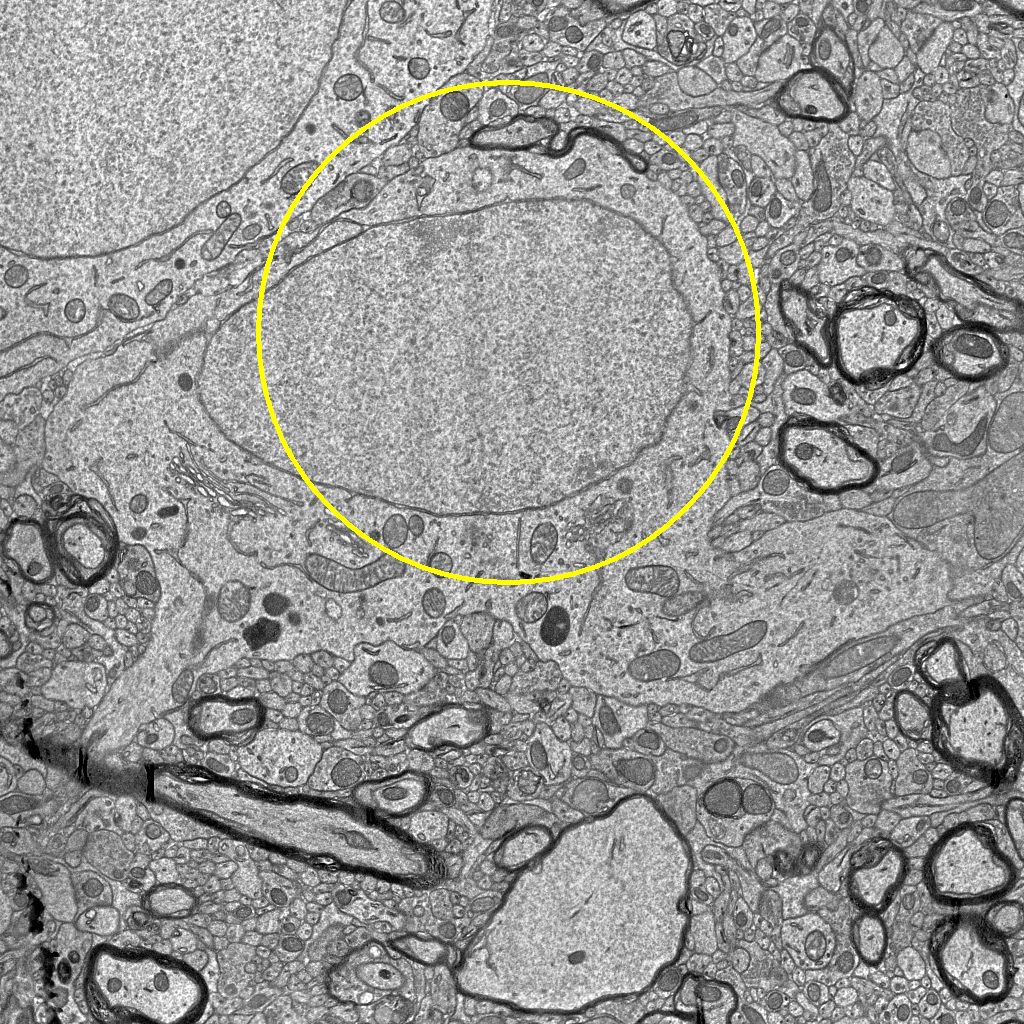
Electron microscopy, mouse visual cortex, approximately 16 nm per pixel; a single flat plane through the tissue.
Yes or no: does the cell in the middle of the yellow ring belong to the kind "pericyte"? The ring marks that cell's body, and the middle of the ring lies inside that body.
no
